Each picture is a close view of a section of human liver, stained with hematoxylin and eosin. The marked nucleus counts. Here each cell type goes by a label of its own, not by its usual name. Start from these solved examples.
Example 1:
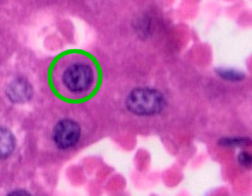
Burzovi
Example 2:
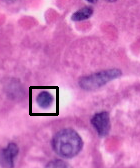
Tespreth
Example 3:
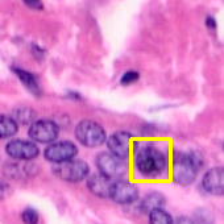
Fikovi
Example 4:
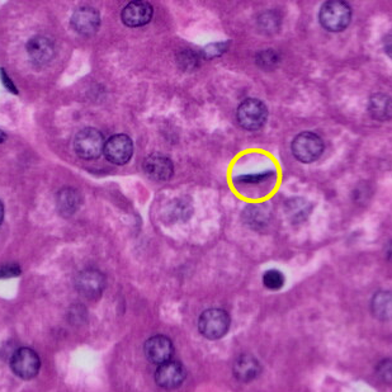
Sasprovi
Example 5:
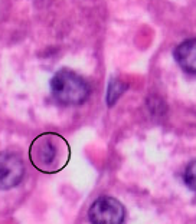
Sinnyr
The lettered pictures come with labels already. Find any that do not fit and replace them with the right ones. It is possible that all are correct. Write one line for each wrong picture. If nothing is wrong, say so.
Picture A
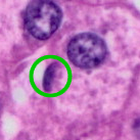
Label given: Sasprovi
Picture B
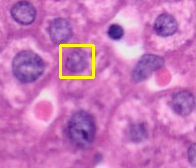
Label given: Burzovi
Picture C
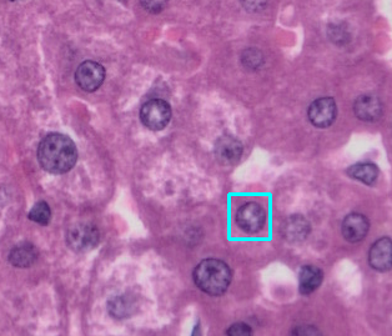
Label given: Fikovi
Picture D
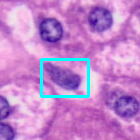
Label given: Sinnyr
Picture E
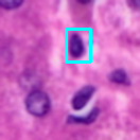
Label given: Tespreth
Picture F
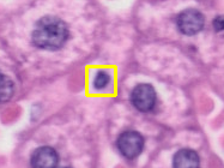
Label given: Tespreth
C: not Fikovi but Burzovi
